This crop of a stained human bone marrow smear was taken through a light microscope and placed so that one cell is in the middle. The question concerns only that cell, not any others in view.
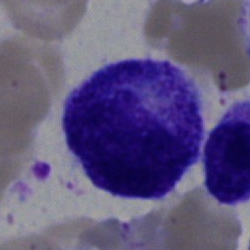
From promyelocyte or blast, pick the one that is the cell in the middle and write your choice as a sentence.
Located at the centre of the crop is a promyelocyte.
